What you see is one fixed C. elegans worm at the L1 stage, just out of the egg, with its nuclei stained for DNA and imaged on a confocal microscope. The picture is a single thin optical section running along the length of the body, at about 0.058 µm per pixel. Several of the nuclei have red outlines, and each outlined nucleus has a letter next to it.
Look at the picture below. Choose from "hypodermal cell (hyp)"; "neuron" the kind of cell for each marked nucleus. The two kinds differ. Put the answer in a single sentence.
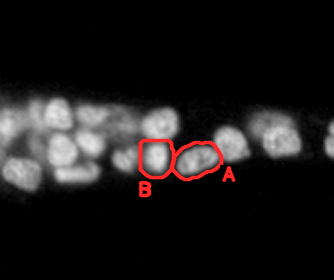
B belongs to a neuron, and A to a hypodermal cell (hyp).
